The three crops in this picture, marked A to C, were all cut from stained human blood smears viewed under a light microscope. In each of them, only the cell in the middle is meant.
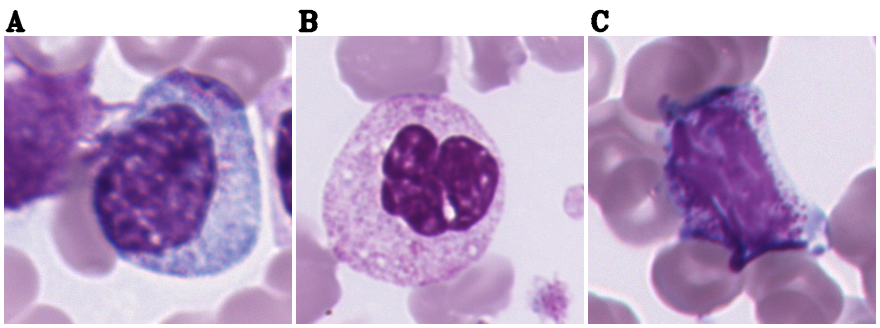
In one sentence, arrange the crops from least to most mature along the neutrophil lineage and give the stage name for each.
From earliest to most mature stage, the crops go crop A (a promyelocyte), crop C (a myelocyte) and crop B (a segmented neutrophil).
